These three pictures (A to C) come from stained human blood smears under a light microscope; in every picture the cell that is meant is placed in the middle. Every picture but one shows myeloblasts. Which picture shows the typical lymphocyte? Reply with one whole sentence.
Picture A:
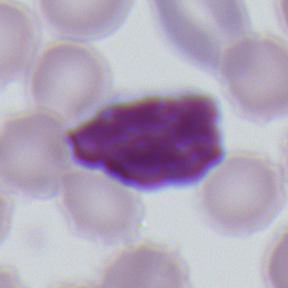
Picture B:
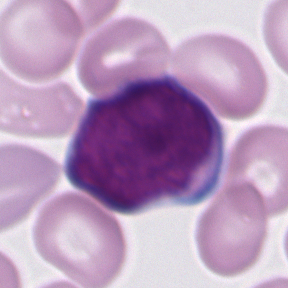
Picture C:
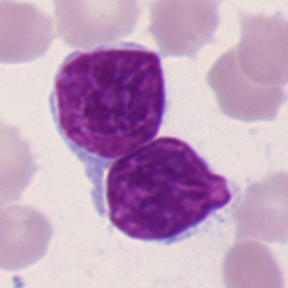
The cell in picture A is the typical lymphocyte.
